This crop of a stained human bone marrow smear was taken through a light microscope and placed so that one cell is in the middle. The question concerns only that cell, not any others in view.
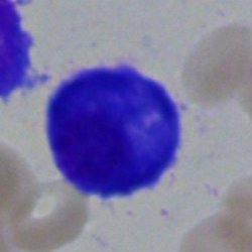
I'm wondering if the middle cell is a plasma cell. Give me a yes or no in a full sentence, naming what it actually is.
Yes, the one cell at the centre is a plasma cell.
